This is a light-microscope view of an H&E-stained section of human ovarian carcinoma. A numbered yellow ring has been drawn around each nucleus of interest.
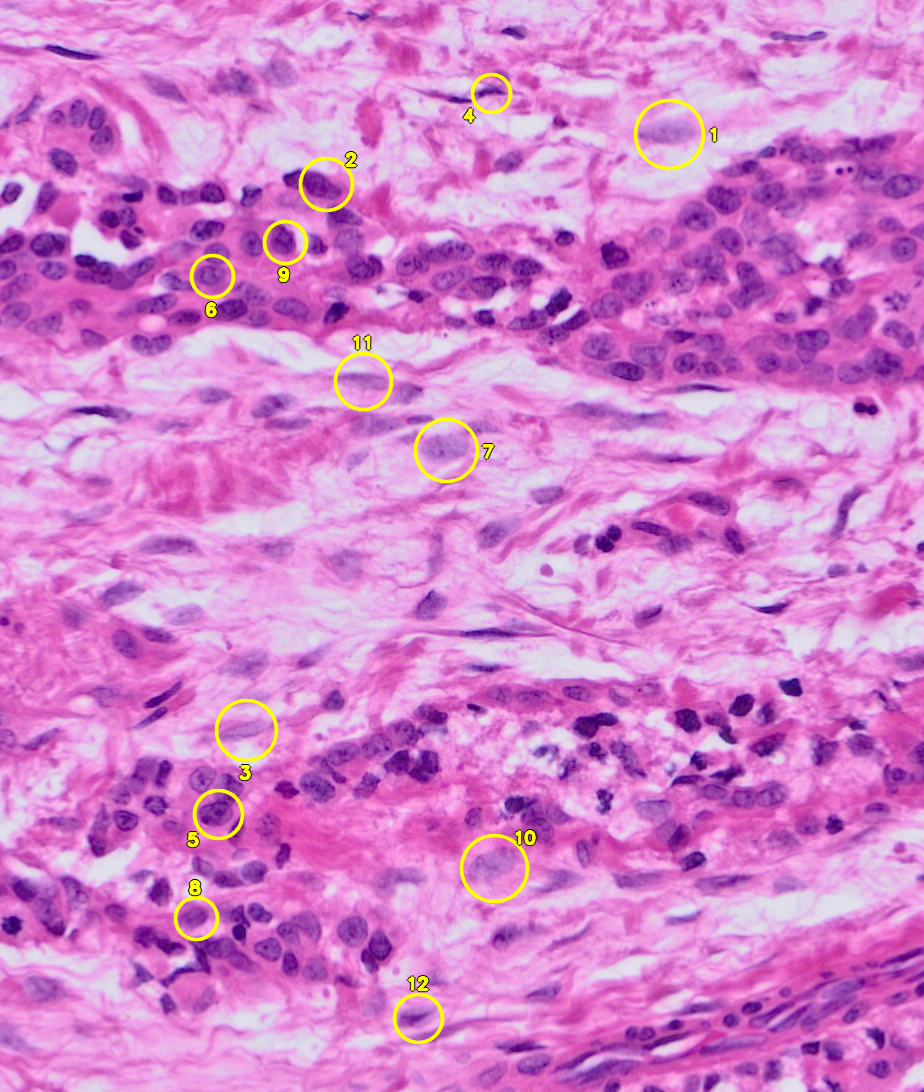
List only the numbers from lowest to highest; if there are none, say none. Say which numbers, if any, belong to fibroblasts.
1, 3, 4, 7, 10, 11, 12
